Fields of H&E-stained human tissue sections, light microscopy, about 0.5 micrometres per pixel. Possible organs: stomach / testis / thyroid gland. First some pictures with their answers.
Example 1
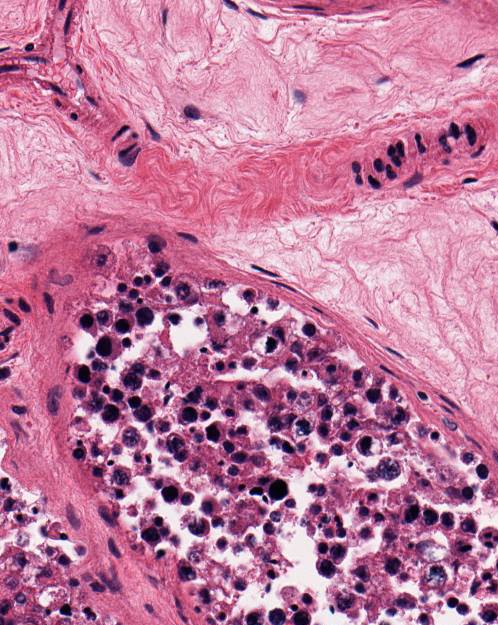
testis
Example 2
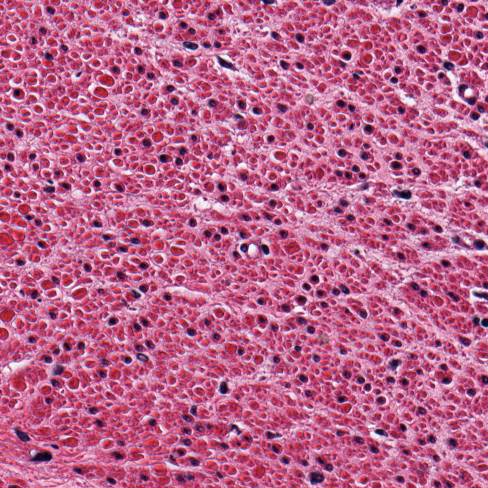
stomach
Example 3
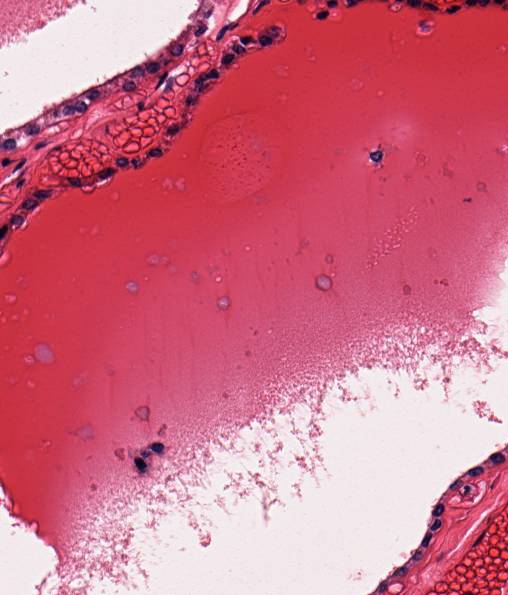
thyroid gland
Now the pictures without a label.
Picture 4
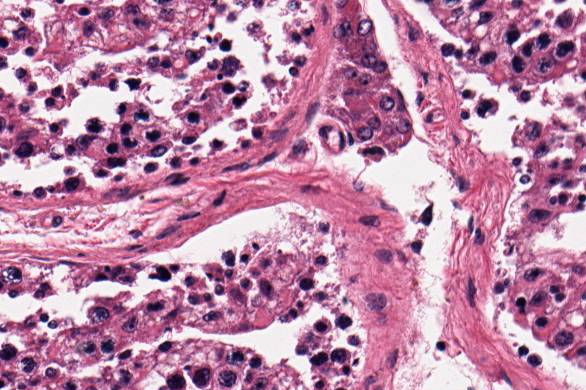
testis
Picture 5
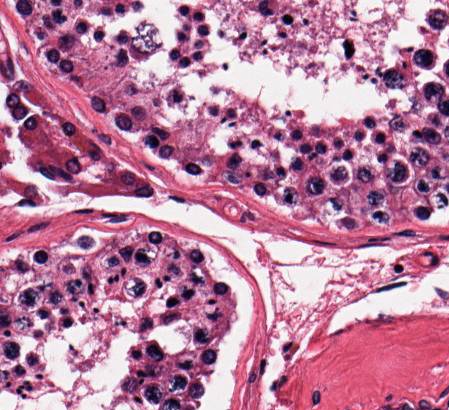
testis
